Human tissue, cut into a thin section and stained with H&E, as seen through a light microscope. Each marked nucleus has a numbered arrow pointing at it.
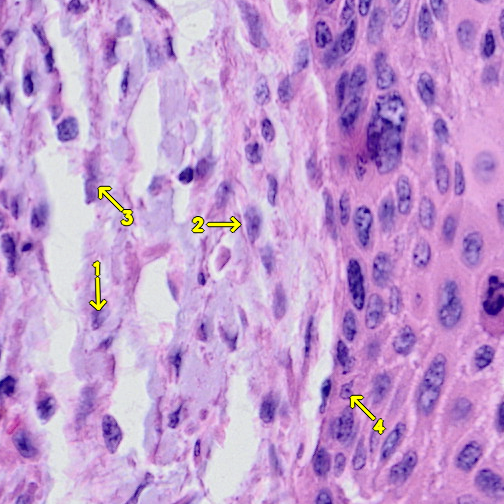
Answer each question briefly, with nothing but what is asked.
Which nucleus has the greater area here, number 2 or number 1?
2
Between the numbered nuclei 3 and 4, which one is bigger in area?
3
